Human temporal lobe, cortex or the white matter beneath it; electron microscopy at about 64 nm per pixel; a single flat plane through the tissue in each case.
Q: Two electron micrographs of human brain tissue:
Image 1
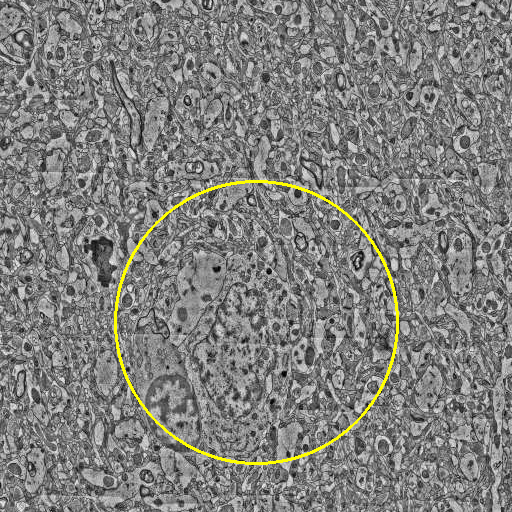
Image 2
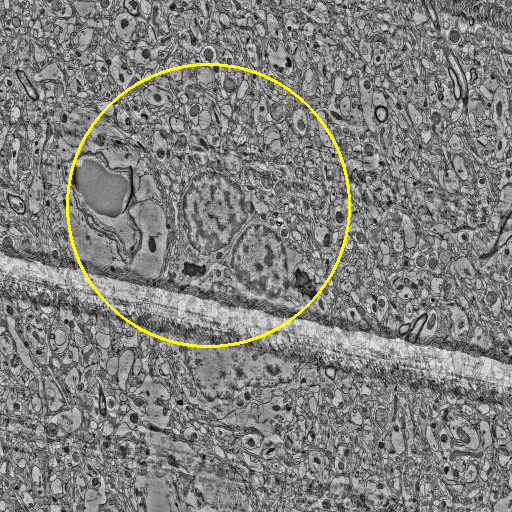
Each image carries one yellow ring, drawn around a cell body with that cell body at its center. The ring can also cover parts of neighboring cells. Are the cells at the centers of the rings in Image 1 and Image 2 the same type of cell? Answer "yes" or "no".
no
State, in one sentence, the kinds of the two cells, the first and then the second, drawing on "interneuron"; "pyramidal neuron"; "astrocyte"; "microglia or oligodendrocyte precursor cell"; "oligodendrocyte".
The ring in the second picture is centred on an oligodendrocyte, the ring in the first on an interneuron.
